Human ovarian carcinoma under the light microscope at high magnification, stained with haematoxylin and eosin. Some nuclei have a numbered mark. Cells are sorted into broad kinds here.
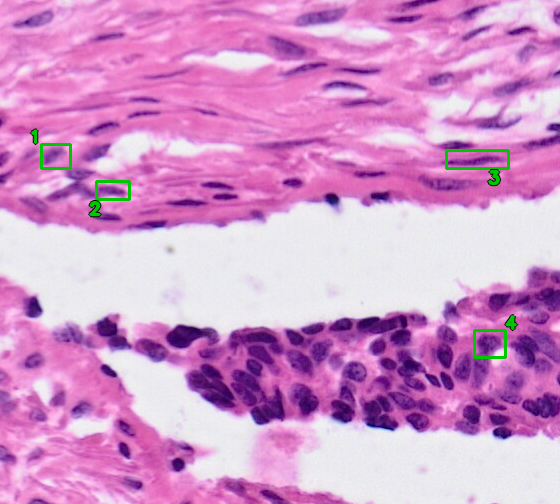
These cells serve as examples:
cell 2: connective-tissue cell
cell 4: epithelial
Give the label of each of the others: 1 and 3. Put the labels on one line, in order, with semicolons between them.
connective-tissue cell; connective-tissue cell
